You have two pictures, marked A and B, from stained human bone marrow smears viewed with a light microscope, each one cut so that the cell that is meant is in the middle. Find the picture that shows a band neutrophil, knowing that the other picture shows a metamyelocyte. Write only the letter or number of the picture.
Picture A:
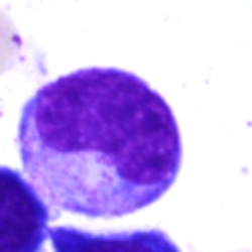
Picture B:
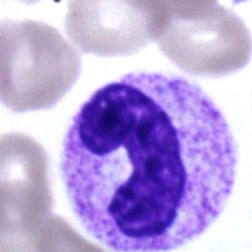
B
